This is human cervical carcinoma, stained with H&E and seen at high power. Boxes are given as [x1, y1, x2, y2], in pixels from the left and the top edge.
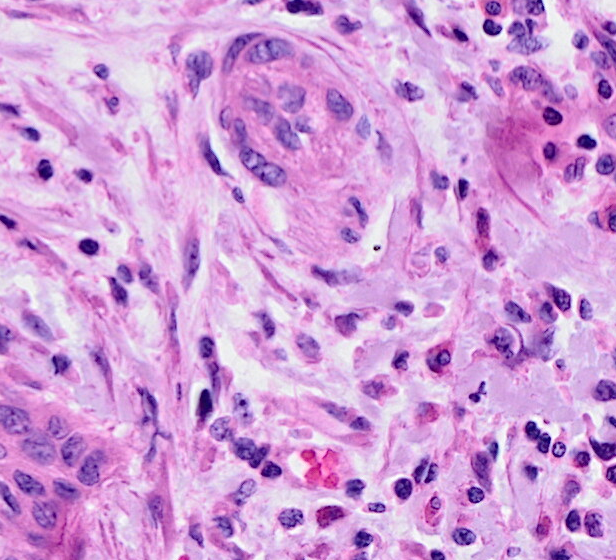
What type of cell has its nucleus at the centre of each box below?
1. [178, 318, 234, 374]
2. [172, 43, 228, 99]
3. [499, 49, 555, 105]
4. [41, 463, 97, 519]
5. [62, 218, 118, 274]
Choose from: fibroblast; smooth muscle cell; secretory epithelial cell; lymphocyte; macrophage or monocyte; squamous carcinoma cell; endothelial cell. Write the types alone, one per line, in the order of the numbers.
lymphocyte
macrophage or monocyte
macrophage or monocyte
squamous carcinoma cell
lymphocyte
